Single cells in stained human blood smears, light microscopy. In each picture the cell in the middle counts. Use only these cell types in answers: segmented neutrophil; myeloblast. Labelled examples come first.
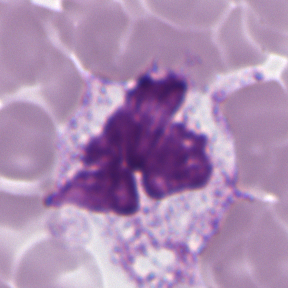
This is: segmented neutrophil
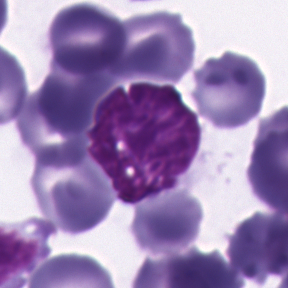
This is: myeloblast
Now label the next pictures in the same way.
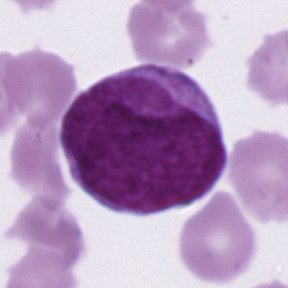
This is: myeloblast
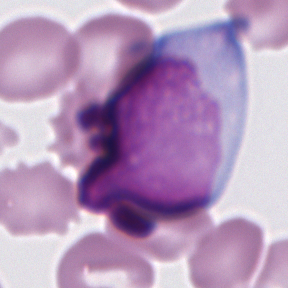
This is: myeloblast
